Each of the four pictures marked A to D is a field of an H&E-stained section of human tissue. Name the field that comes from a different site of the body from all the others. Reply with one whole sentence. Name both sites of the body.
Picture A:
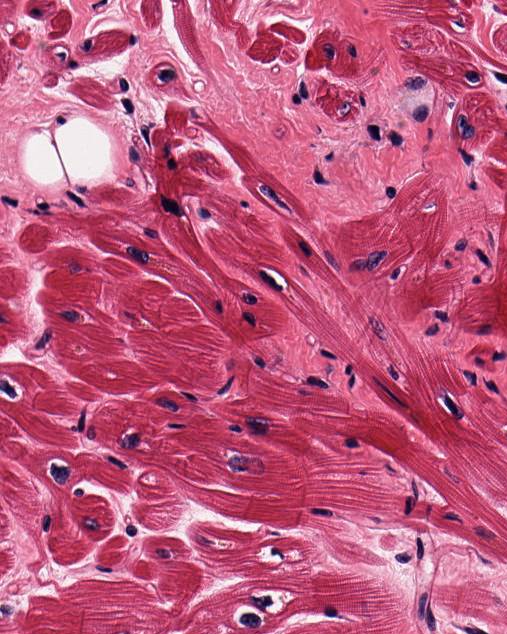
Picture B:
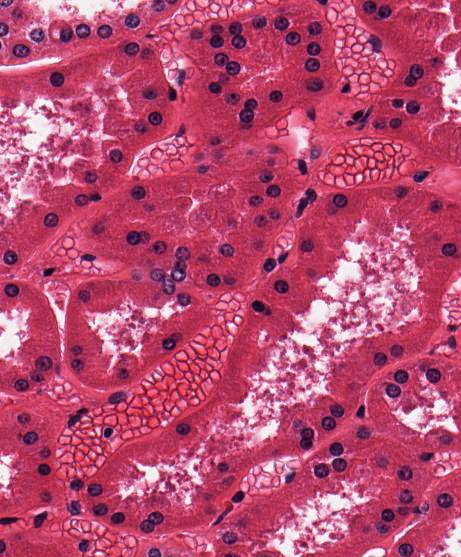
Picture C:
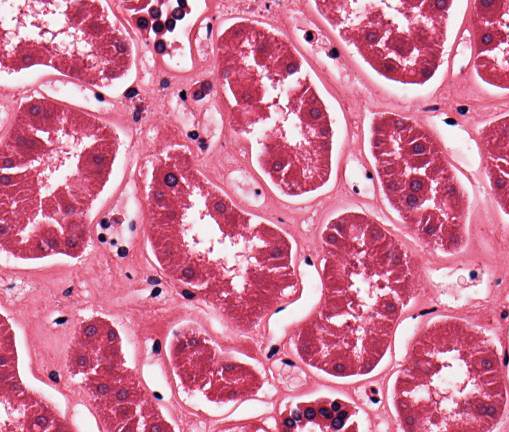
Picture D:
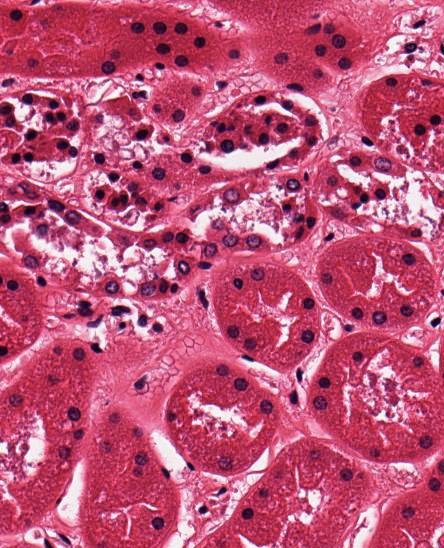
Unlike the rest, which come from the renal cortex, picture A comes from the left ventricle of the heart.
